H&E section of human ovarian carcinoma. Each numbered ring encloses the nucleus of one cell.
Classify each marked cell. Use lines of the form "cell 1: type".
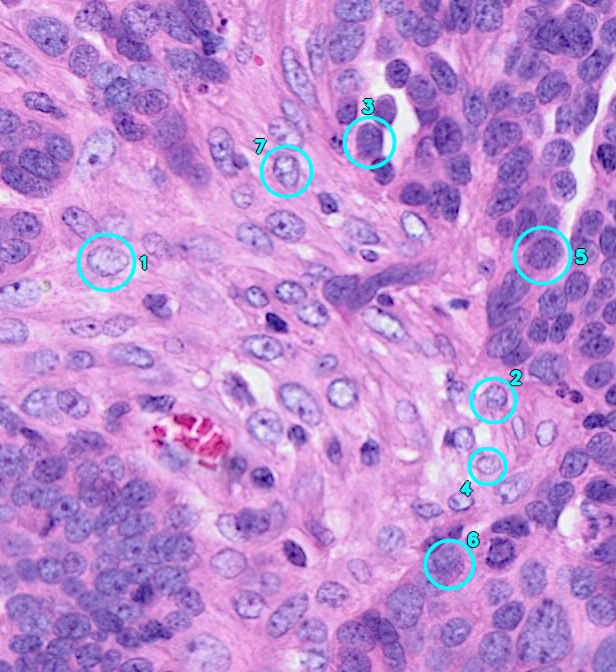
cell 1: fibroblast
cell 2: fibroblast
cell 3: carcinoma cell
cell 4: fibroblast
cell 5: carcinoma cell
cell 6: carcinoma cell
cell 7: fibroblast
